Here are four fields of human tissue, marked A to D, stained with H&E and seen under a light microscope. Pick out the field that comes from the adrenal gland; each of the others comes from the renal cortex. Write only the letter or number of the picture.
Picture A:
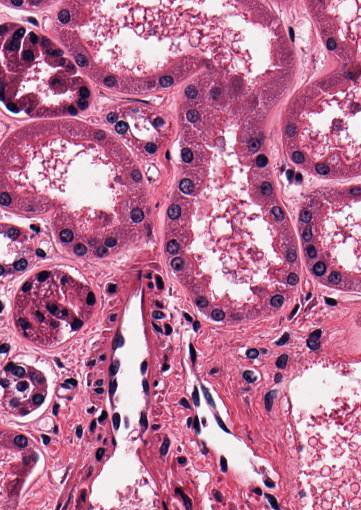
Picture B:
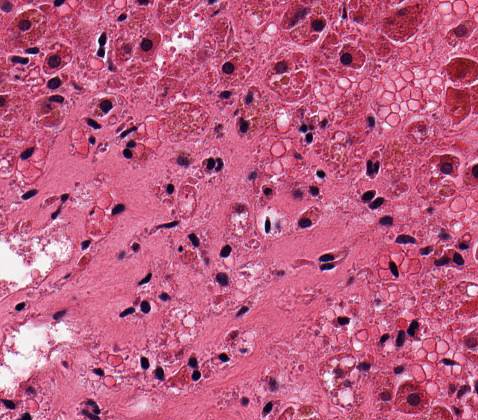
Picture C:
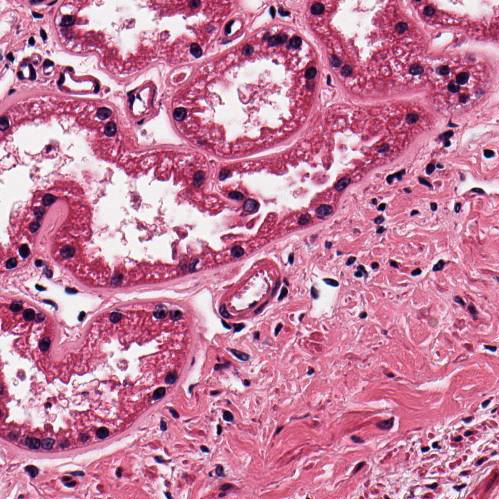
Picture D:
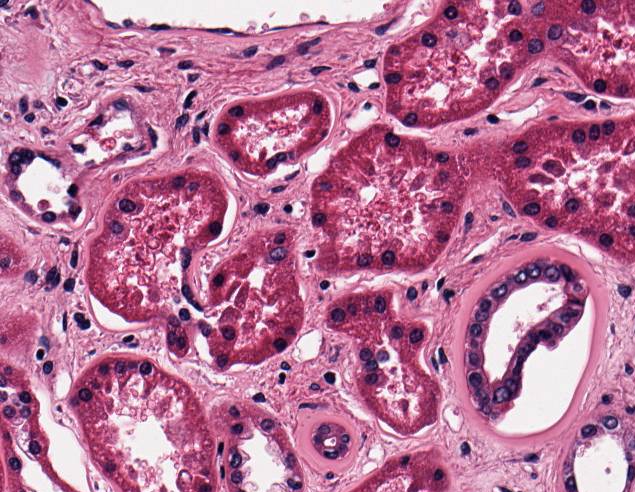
B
